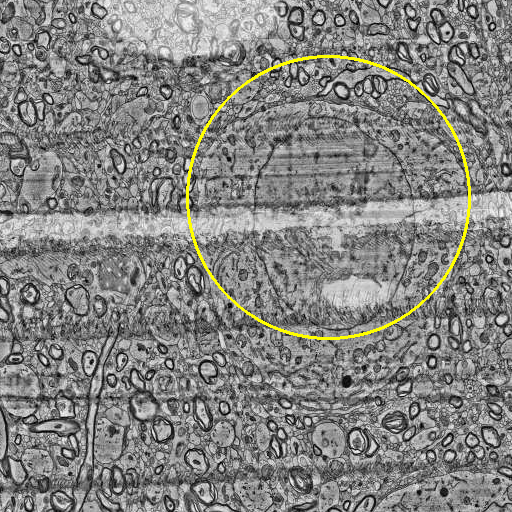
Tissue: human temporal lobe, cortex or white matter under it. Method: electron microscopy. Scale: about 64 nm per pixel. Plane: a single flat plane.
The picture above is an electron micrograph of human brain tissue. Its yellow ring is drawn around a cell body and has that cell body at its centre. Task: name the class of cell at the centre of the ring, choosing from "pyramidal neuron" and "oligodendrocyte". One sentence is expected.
The ring surrounds the body of a pyramidal neuron.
